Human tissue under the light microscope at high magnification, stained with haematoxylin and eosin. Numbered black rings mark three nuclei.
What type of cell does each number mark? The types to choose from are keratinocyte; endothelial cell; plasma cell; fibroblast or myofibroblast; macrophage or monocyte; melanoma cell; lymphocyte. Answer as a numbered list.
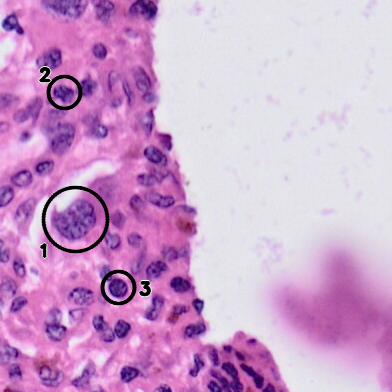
1. melanoma cell
2. lymphocyte
3. lymphocyte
